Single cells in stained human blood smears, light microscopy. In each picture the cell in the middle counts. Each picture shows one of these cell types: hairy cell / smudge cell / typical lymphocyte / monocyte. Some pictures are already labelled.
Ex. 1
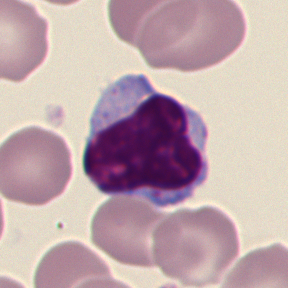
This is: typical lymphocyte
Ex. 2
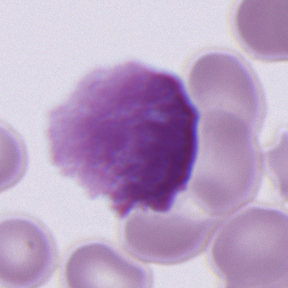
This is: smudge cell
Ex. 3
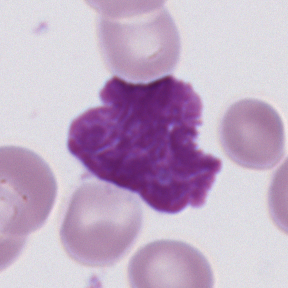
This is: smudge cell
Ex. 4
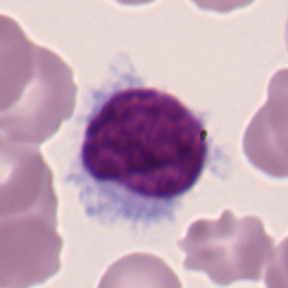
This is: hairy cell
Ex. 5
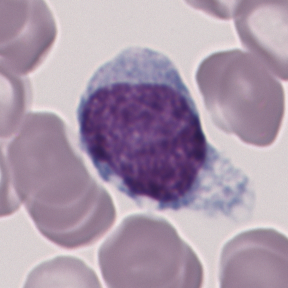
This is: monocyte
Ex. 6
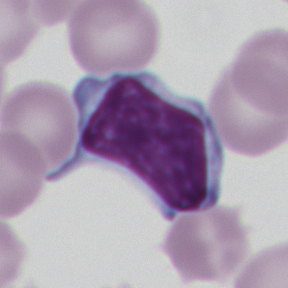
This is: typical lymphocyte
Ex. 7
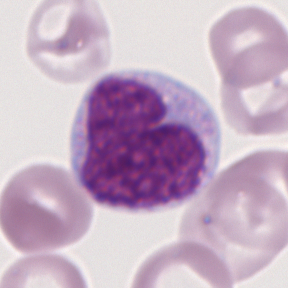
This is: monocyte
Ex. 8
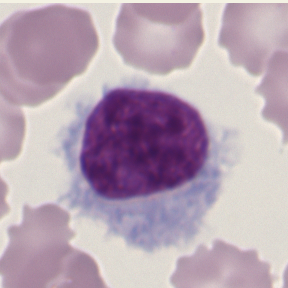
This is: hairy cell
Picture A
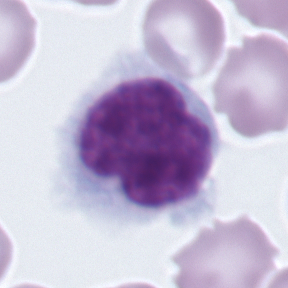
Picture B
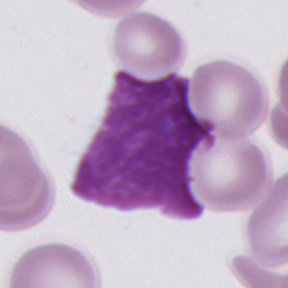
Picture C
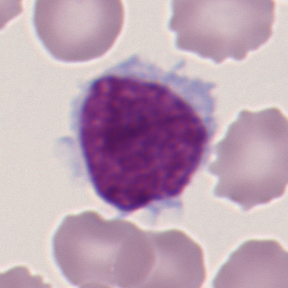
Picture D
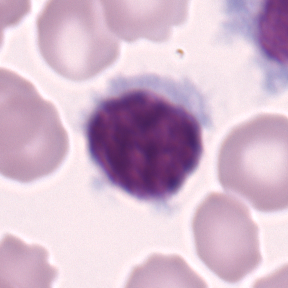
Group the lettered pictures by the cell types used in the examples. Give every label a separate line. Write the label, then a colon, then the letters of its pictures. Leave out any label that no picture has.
hairy cell: A, C, D
smudge cell: B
